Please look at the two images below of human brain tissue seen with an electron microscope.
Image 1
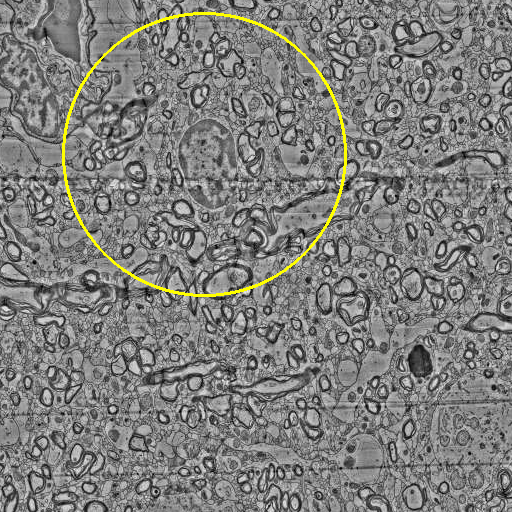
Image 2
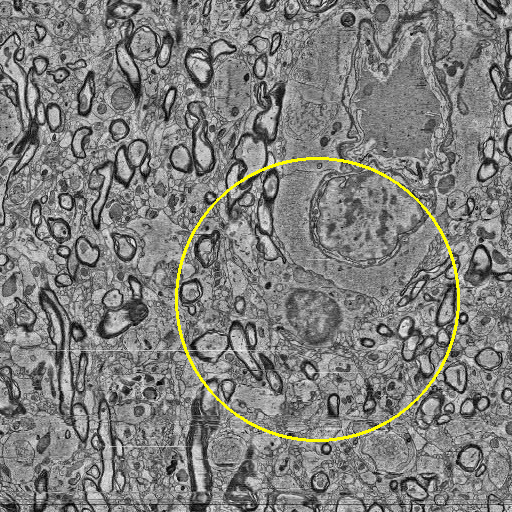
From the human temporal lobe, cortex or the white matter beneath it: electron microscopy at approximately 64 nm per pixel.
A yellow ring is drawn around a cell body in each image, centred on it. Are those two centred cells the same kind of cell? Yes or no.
no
